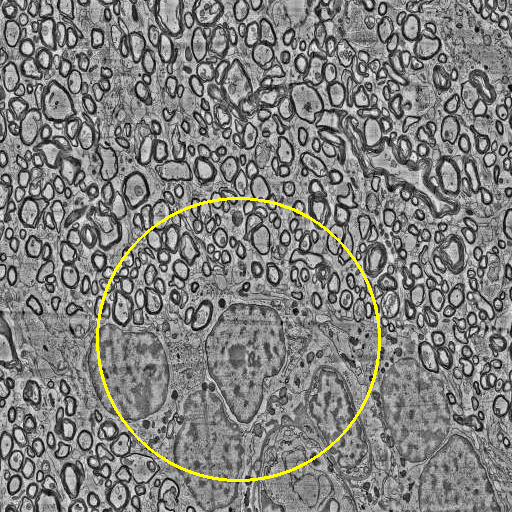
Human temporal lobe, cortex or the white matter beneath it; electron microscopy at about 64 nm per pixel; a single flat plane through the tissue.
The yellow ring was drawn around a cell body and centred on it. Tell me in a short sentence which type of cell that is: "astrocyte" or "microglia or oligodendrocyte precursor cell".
The cell at the ring's centre is a microglial cell or oligodendrocyte precursor cell.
